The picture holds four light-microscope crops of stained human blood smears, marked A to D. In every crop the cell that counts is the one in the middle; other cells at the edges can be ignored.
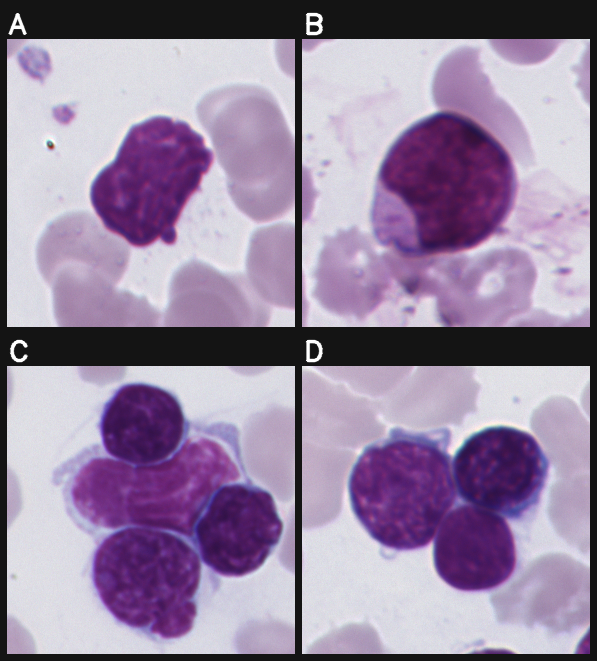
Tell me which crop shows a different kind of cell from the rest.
A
